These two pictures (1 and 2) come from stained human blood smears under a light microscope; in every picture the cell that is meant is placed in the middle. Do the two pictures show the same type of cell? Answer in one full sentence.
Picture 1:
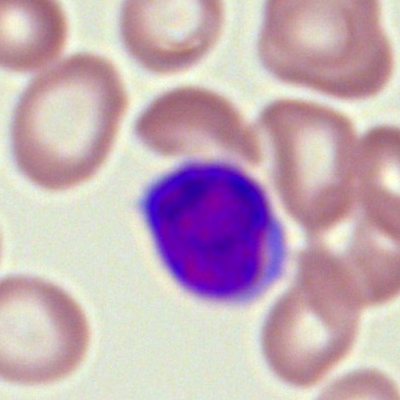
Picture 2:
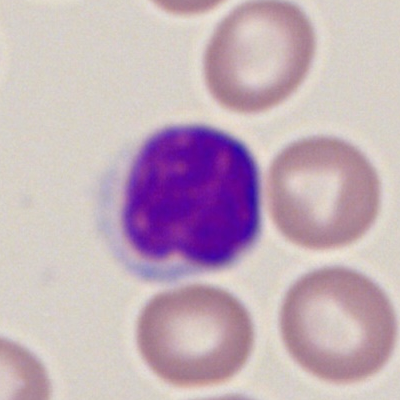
Yes; the cells in both pictures are lymphocytes.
